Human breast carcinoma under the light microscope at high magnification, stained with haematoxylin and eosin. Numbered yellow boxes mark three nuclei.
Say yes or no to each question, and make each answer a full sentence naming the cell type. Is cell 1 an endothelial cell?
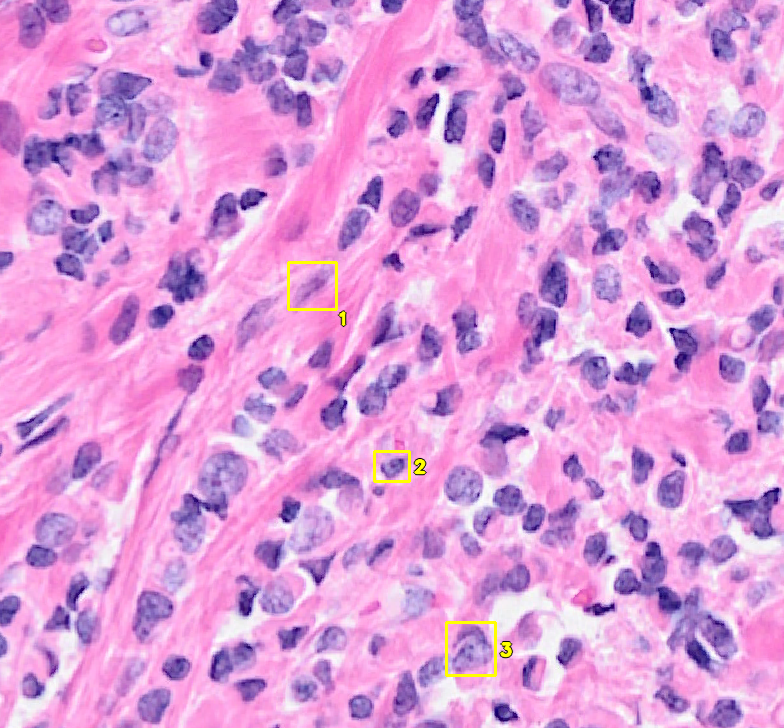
No, the cell tagged 1 is a fibroblast, not an endothelial cell.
